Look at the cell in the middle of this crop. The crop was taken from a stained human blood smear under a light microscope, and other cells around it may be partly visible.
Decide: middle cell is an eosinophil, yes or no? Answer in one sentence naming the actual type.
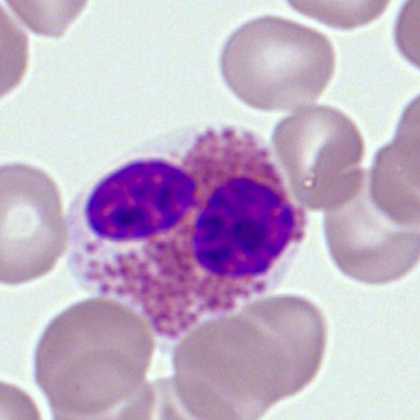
Yes, the cell that the crop is centred on is an eosinophil.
